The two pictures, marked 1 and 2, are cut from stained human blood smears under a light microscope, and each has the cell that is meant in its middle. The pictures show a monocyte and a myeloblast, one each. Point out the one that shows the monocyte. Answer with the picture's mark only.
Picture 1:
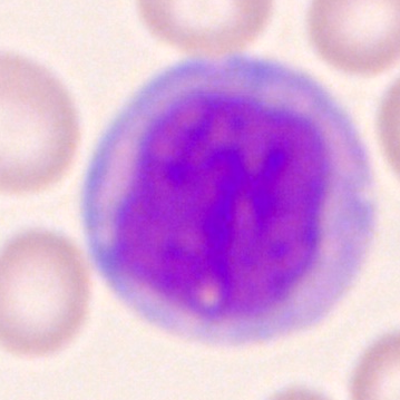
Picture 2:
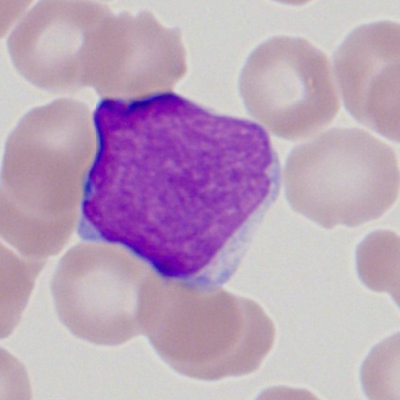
1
